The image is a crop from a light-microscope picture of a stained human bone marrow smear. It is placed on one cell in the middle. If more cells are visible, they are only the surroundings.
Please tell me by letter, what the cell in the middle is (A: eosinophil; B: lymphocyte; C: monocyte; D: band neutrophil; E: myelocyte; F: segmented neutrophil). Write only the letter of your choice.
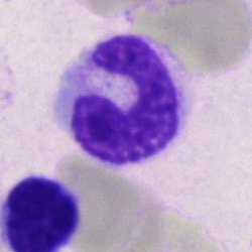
D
